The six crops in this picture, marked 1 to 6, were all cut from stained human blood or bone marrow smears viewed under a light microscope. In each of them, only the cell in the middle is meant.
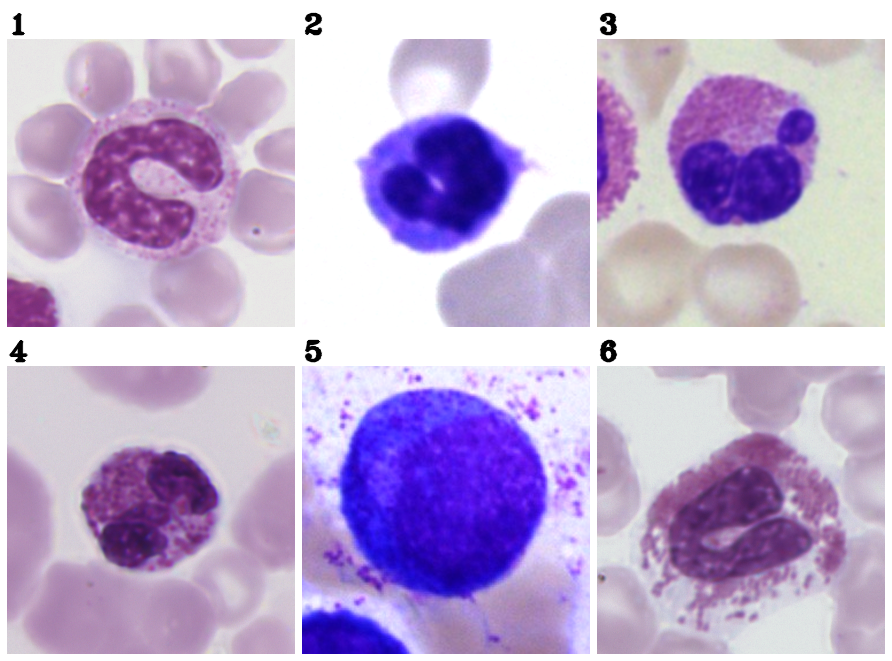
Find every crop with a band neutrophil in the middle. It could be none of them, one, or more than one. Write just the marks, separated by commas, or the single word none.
1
